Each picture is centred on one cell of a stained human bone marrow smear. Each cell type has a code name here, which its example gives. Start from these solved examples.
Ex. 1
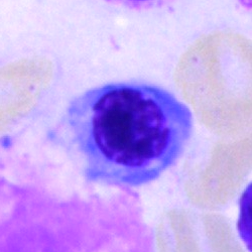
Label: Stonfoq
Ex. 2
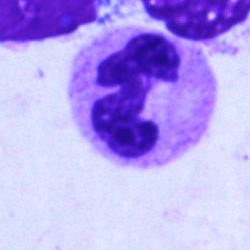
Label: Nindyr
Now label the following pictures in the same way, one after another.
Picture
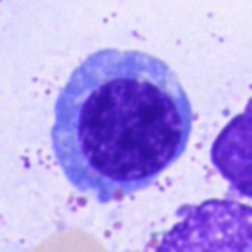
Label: Stonfoq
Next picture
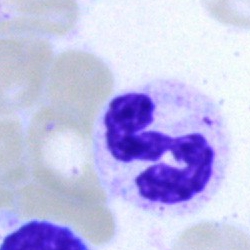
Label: Nindyr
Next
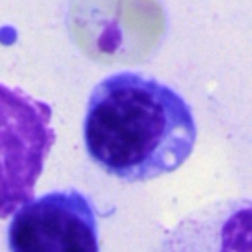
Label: Stonfoq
